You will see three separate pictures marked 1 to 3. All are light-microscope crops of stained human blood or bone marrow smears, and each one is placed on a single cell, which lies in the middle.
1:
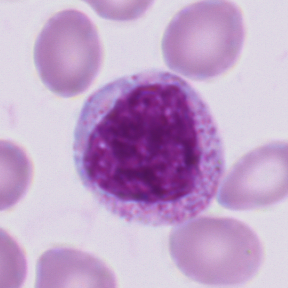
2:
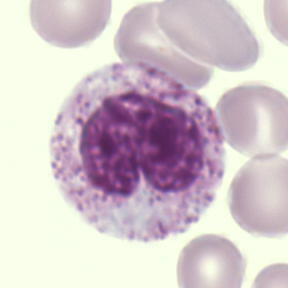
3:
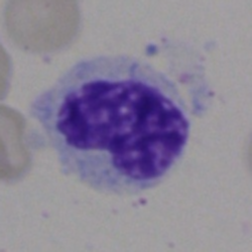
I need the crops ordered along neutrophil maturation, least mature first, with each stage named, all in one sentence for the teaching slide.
Placed in order from least to most mature, they run crop 1 (a myelocyte), crop 3 (a metamyelocyte) and crop 2 (a band neutrophil).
